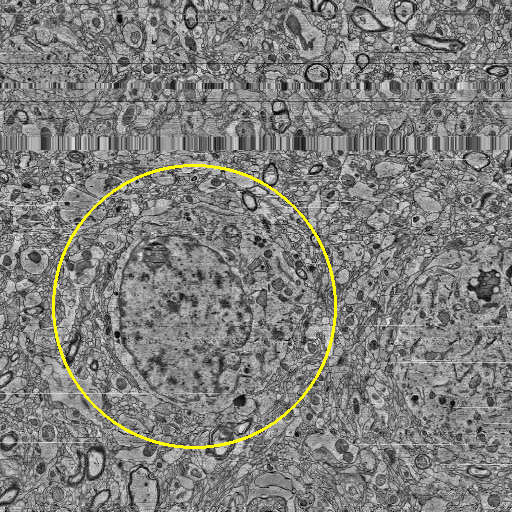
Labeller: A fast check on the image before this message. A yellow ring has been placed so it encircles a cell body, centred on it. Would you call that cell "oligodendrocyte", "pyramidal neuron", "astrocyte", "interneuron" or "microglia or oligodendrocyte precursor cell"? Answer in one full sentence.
In this image, an interneuron is the cell on which the yellow ring is centred.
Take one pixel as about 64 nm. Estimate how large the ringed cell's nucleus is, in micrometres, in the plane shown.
The nucleus is approximately 11 micrometers long by 9 micrometers wide in this plane.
